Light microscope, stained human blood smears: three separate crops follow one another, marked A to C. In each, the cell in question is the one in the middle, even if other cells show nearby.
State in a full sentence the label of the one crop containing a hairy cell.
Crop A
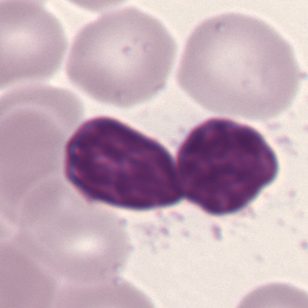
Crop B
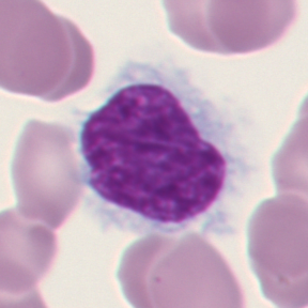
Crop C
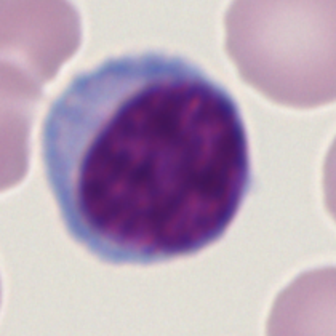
Within this set, crop B is the one with a hairy cell at its center.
